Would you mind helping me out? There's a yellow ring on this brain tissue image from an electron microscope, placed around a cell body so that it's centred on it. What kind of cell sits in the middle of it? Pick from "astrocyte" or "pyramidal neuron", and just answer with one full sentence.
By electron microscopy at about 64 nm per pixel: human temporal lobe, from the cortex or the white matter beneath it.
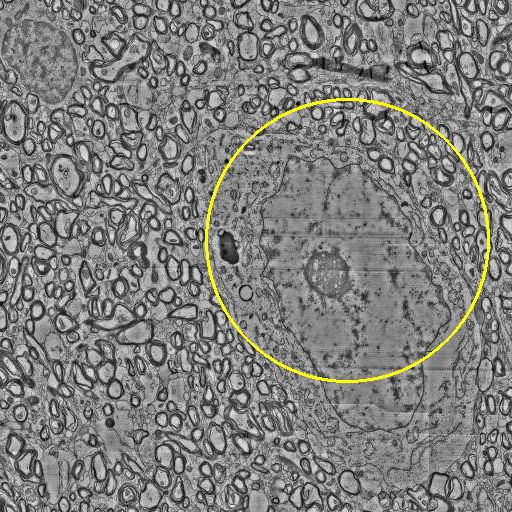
What sits in the middle of that yellow ring is a pyramidal neuron, from your choices.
